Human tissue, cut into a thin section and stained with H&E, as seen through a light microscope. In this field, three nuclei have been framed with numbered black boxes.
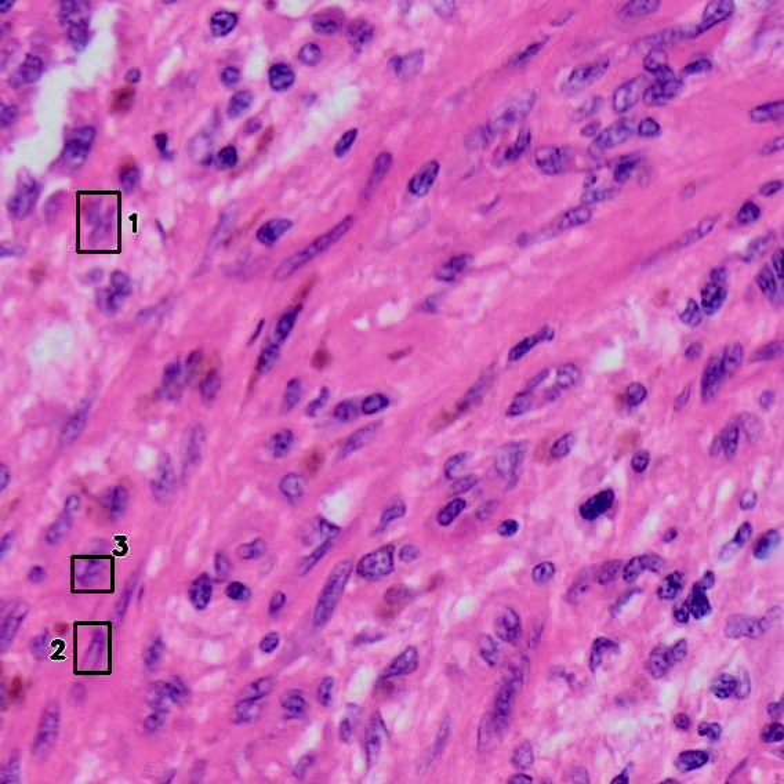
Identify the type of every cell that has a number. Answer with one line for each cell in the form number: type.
1: fibroblast or myofibroblast
2: endothelial cell
3: endothelial cell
